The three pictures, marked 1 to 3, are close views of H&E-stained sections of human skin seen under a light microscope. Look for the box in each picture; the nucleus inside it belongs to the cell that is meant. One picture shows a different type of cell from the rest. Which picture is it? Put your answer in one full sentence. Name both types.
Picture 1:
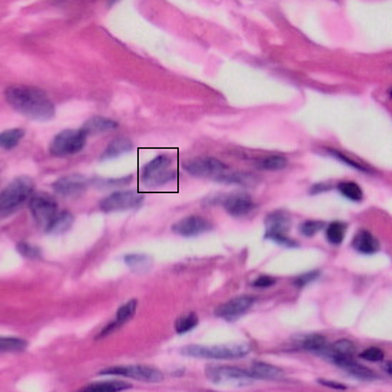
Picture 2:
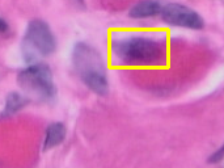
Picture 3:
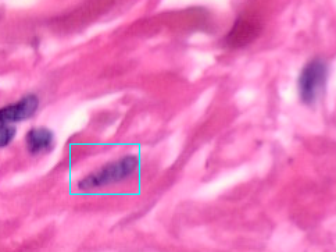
The others show endothelial cells, but picture 3 shows a fibroblast.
